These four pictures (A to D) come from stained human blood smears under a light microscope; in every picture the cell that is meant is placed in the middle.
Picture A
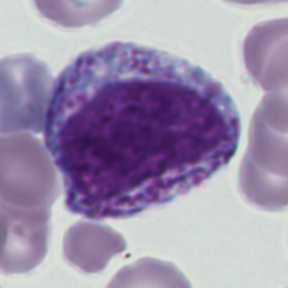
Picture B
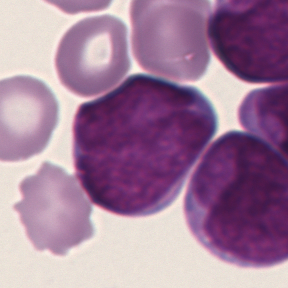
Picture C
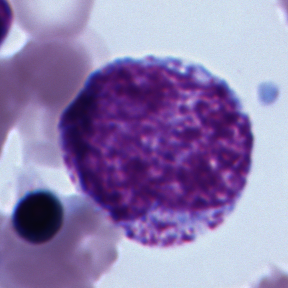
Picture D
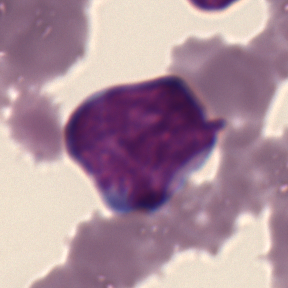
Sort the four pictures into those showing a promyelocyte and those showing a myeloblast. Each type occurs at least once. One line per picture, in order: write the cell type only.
promyelocyte
myeloblast
promyelocyte
myeloblast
